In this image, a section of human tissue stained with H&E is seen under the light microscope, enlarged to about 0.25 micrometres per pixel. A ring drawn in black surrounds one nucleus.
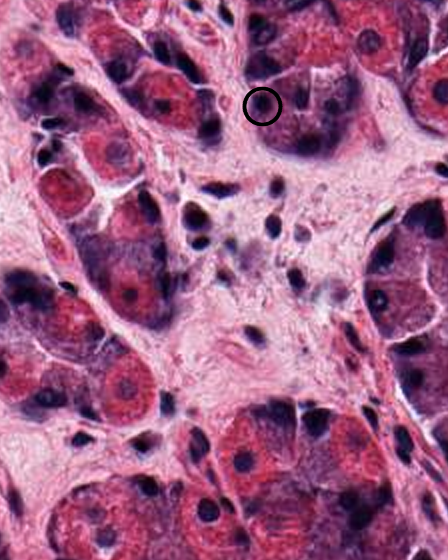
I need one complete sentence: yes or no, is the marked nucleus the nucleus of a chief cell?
Yes, it is a chief cell that holds the marked nucleus.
